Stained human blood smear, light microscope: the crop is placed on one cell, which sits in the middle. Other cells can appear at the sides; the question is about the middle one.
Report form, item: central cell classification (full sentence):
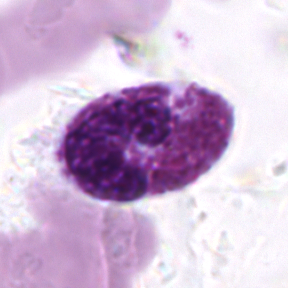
Looking at the middle of the crop, the cell there is an eosinophil.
